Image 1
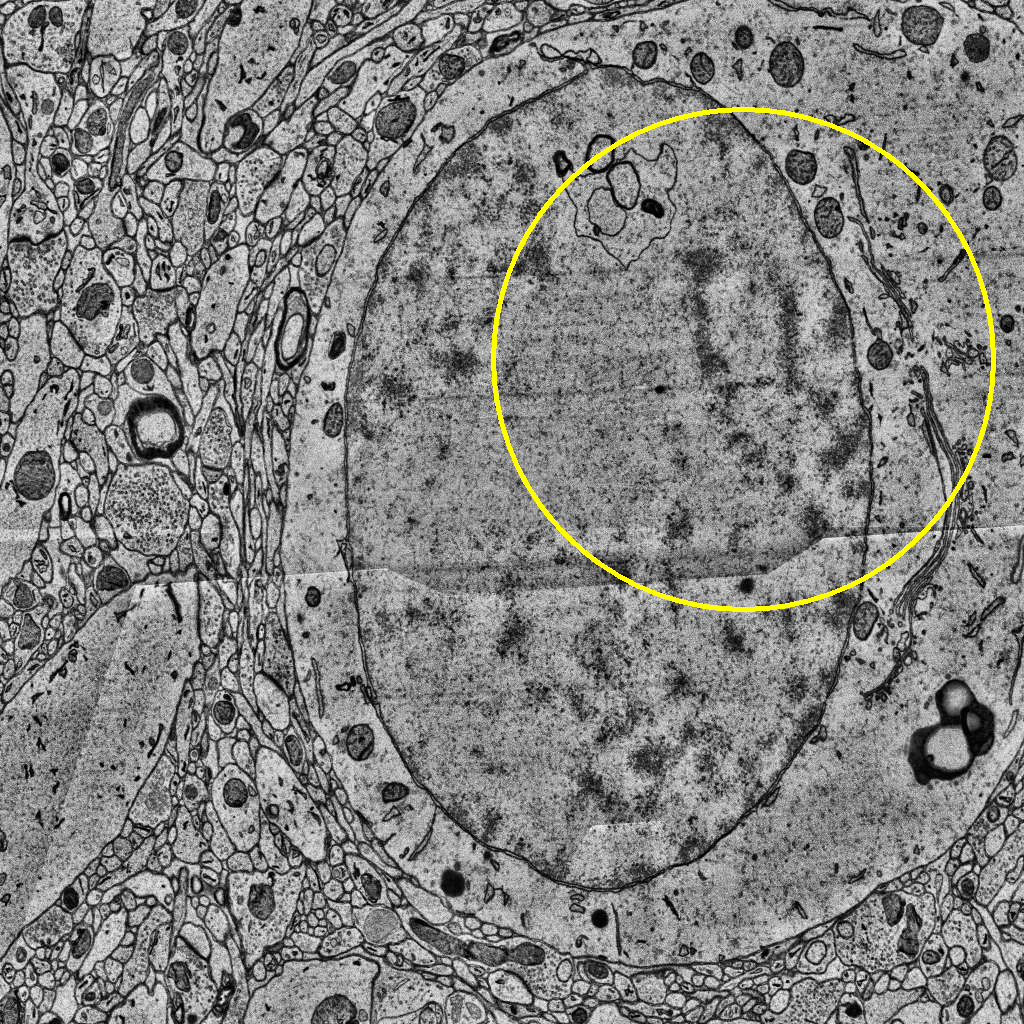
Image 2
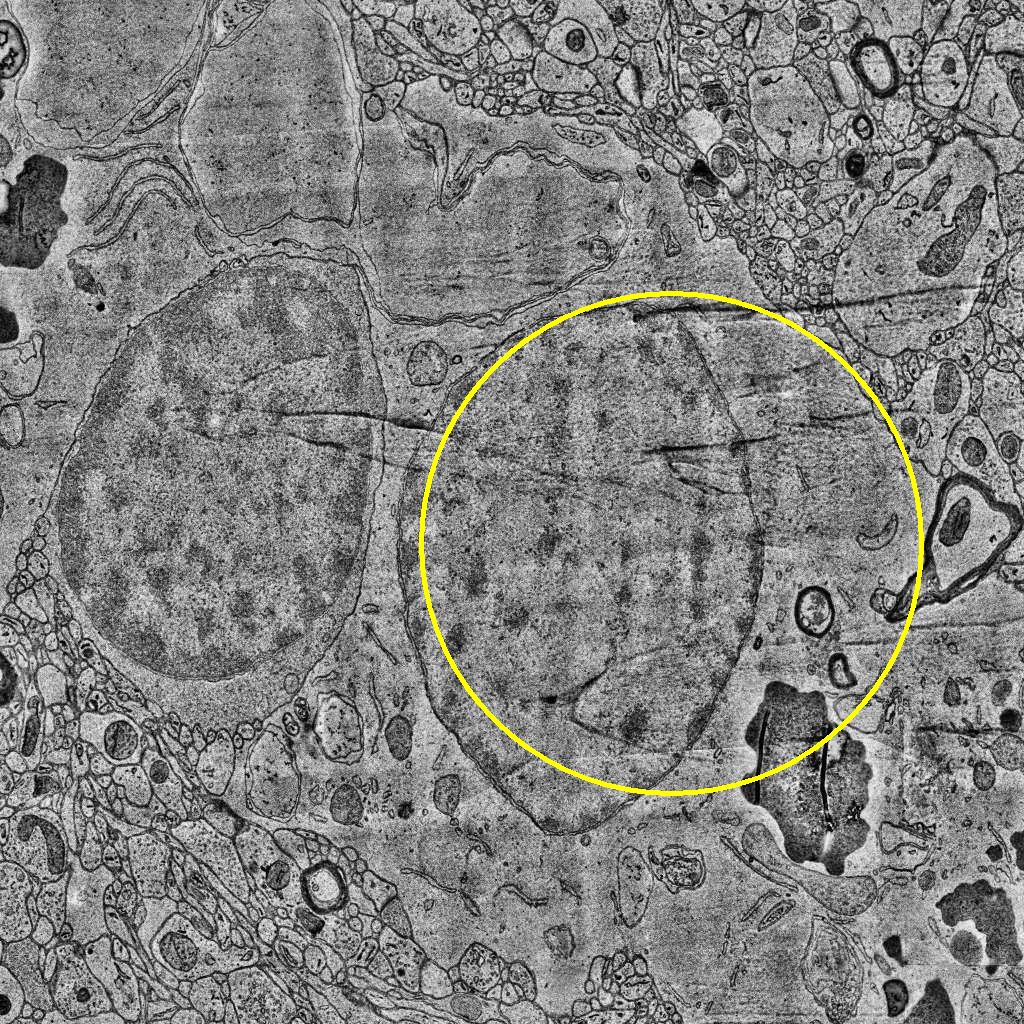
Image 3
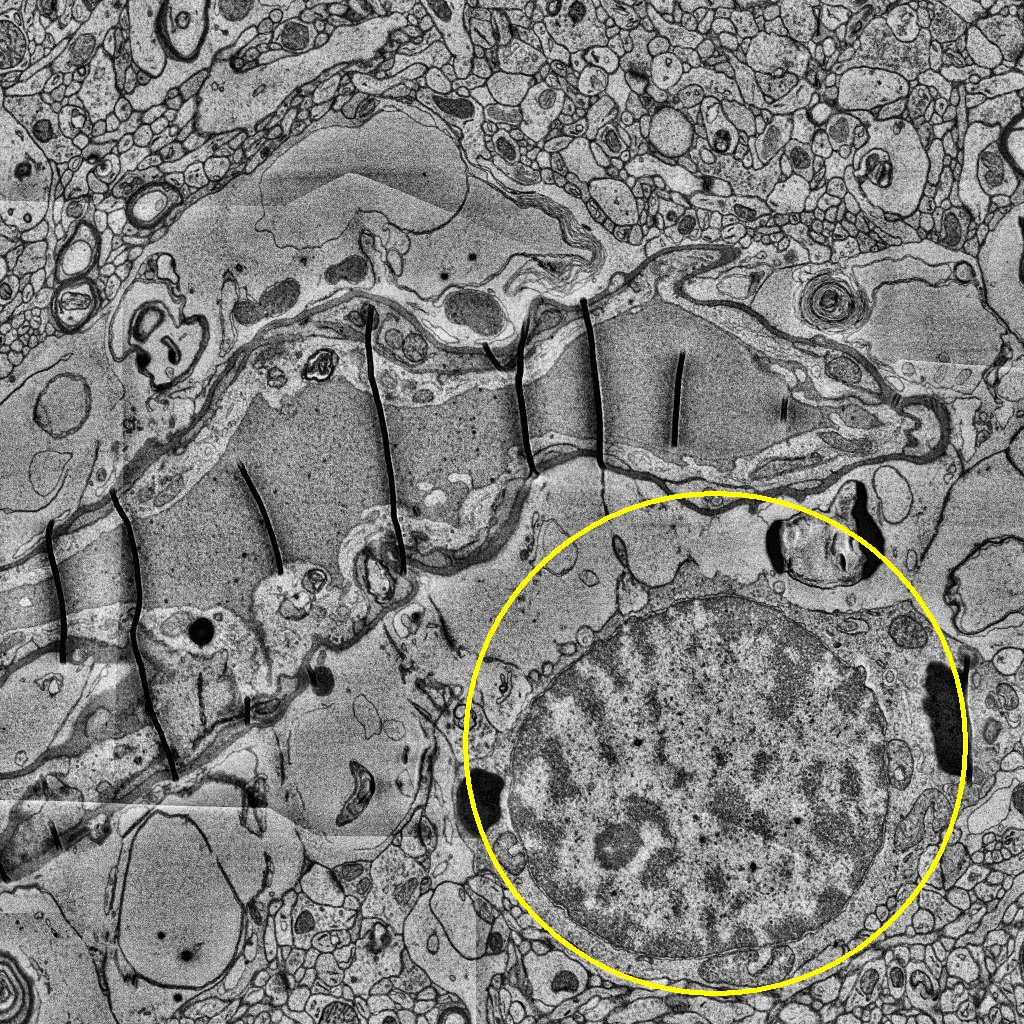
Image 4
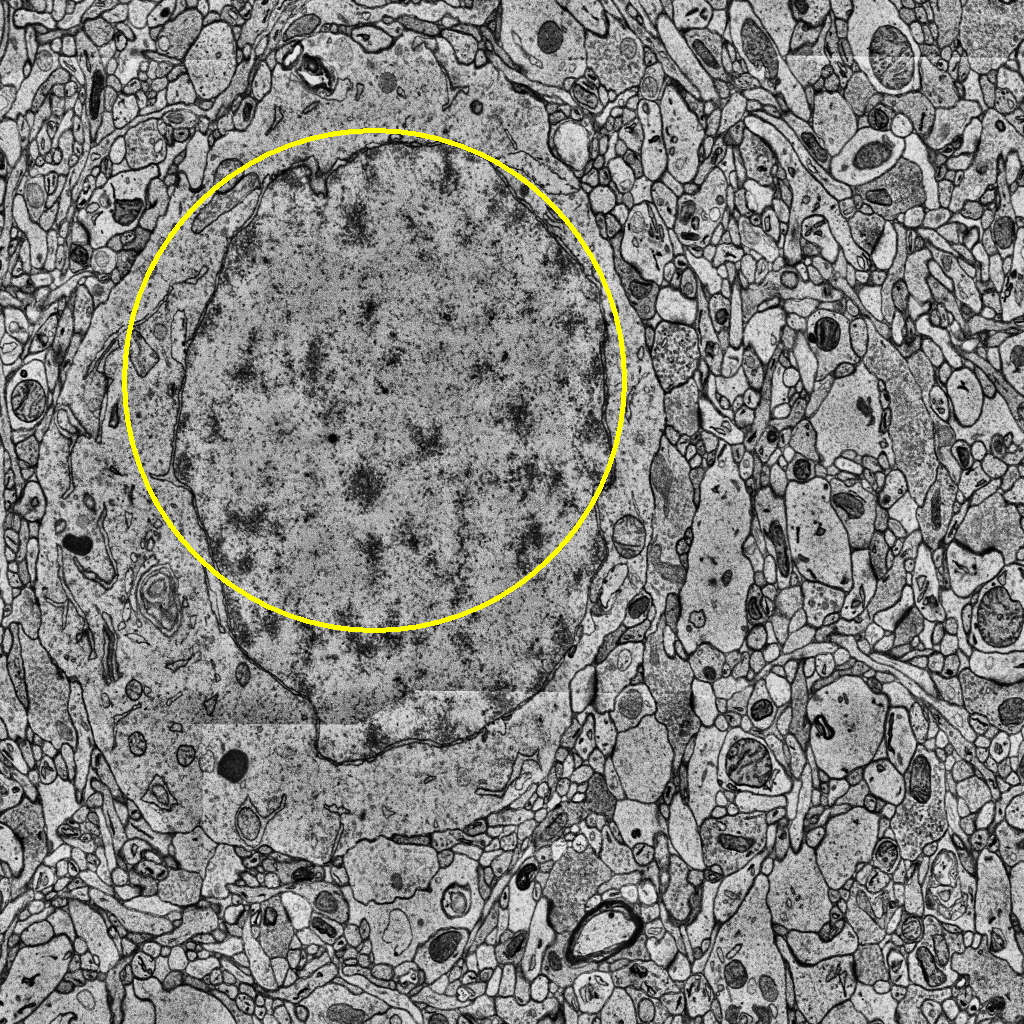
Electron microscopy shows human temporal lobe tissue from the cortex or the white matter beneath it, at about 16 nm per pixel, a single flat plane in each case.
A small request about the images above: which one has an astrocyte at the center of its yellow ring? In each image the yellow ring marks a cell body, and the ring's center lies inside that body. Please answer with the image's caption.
Image 2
